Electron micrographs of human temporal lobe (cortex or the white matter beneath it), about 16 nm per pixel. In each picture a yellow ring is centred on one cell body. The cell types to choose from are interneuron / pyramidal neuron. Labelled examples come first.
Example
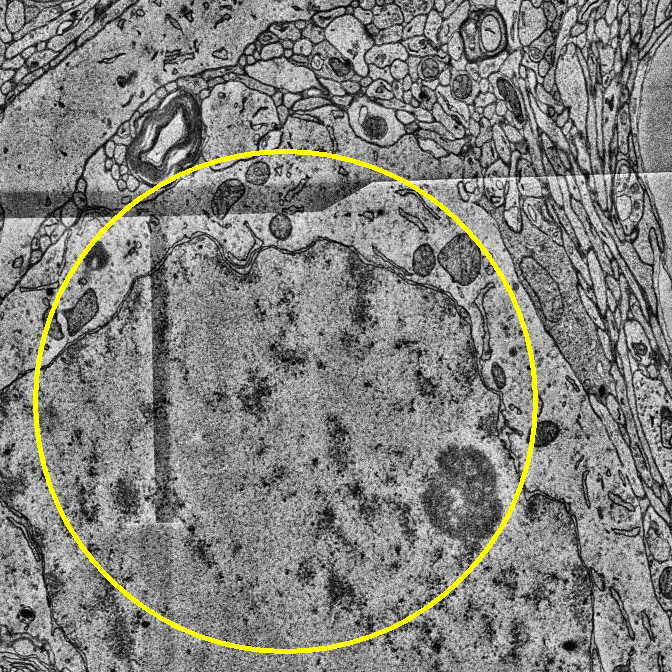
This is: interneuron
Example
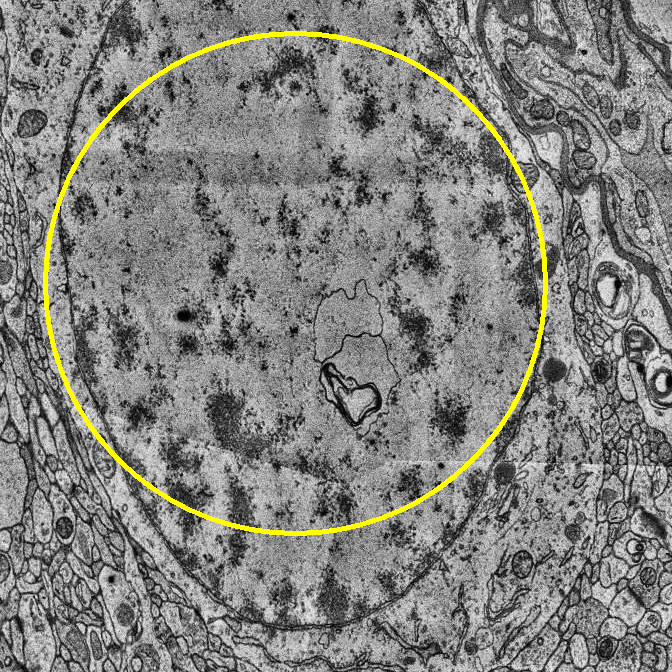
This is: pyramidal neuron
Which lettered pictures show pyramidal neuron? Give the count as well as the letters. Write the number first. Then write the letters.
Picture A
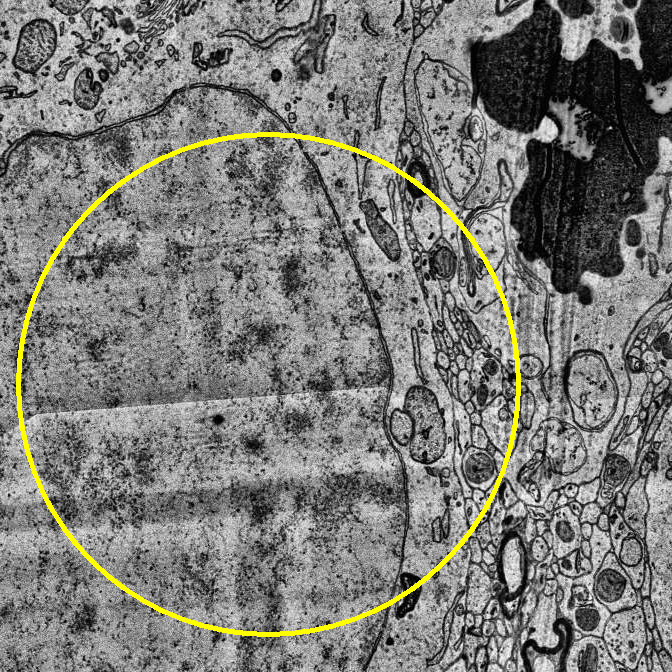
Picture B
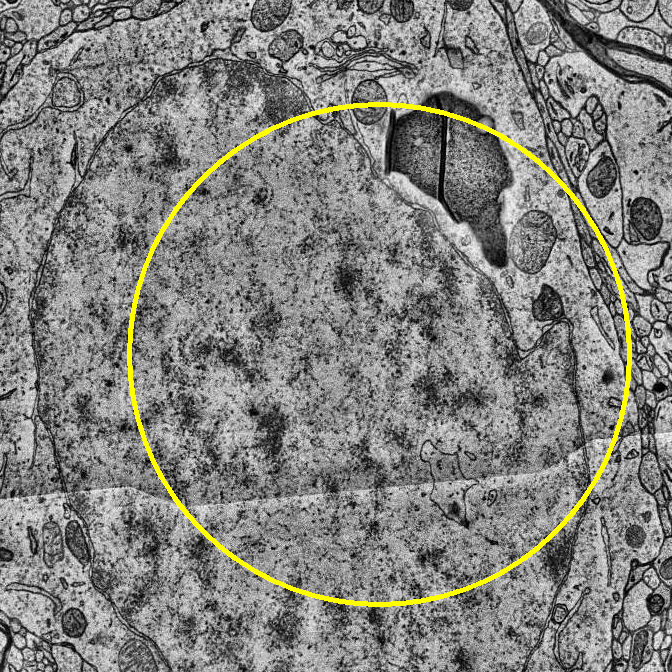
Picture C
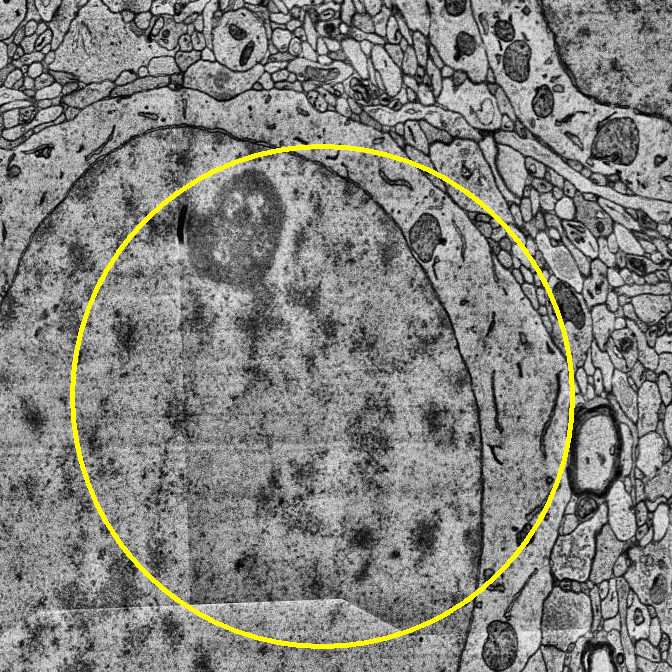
2: A, C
